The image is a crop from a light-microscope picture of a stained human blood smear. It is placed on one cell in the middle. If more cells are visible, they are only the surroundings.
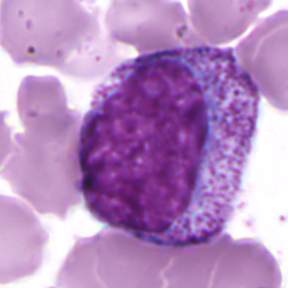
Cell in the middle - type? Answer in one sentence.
The cell that lies at the centre of the crop is a promyelocyte.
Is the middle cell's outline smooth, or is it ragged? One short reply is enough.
Smooth all around, the outline has no projections to report.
